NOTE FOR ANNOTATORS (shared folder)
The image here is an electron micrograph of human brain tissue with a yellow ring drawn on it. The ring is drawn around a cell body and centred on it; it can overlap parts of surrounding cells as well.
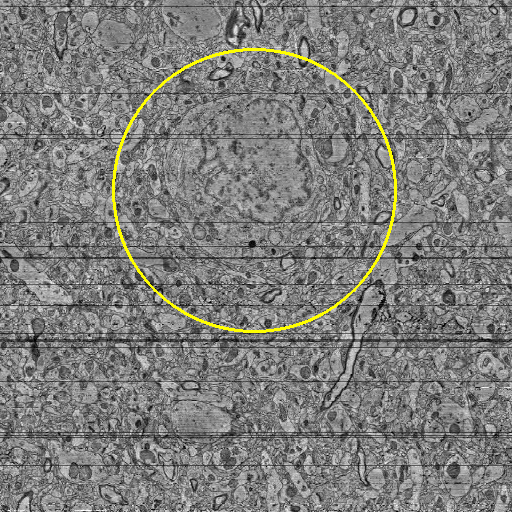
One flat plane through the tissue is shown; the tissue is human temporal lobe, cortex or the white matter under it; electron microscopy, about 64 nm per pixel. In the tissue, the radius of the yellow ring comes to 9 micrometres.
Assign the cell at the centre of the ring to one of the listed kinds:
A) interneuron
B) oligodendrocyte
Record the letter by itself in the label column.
A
